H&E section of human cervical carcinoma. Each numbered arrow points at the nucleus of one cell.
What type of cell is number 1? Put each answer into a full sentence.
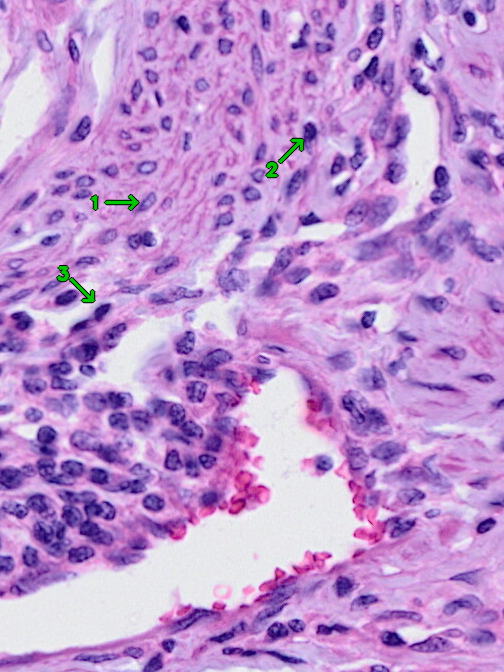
The cell bearing label 1 corresponds to a smooth muscle cell.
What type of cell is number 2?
Among the marked nuclei, number 2 belongs to a lymphocyte.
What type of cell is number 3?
Number 3 is placed on a lymphocyte here.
